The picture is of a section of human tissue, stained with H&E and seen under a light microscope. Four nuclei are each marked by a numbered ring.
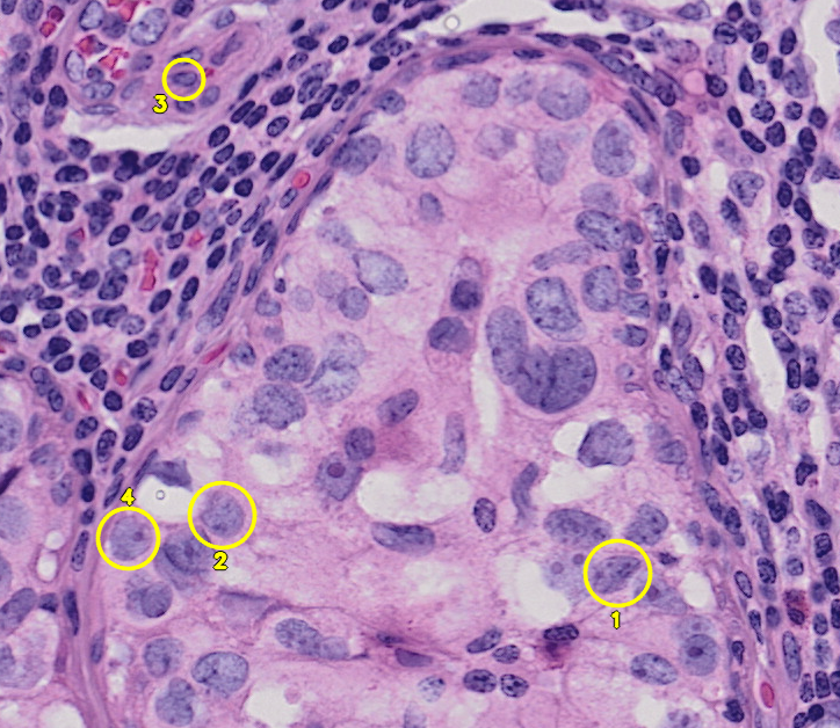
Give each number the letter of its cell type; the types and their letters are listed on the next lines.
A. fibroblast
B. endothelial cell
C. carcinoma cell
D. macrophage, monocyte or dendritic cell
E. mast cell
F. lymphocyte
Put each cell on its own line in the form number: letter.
1: C
2: C
3: B
4: C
